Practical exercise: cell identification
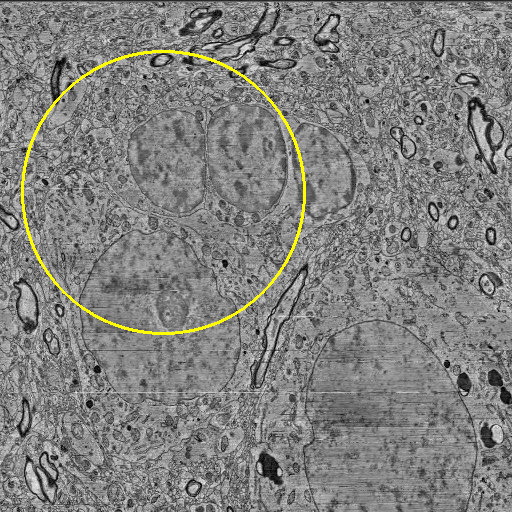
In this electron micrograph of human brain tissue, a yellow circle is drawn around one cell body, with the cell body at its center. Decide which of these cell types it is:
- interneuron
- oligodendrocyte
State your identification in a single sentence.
The ringed cell is an oligodendrocyte.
